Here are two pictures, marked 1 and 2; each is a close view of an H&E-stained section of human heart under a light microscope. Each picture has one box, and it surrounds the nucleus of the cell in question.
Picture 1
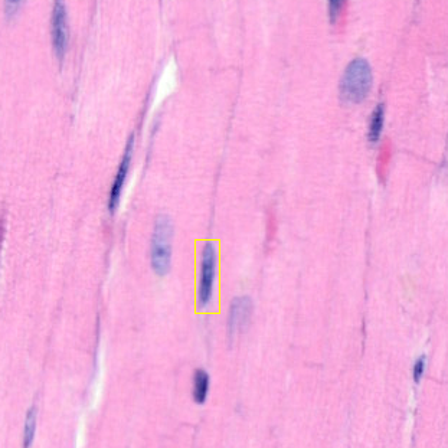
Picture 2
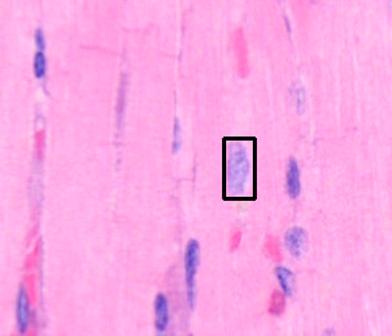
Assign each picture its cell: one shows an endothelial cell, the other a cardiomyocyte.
1: endothelial cell
2: cardiomyocyte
